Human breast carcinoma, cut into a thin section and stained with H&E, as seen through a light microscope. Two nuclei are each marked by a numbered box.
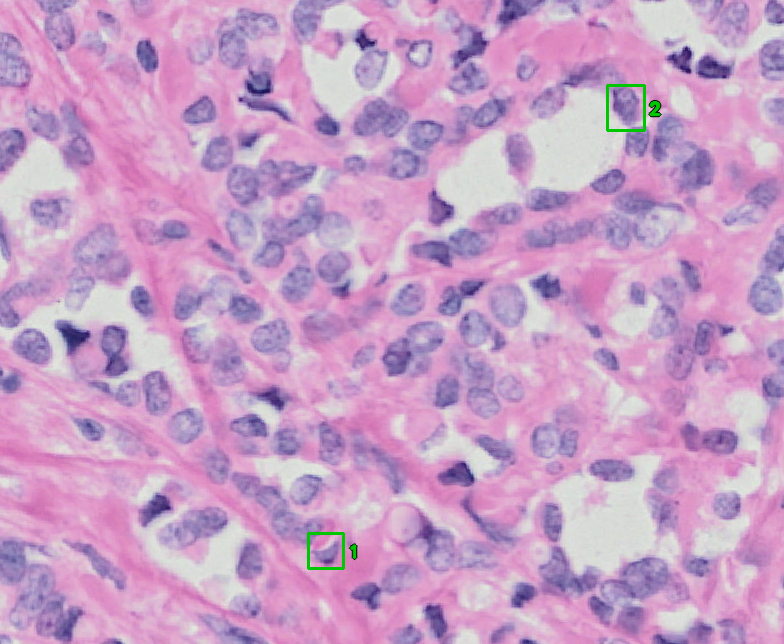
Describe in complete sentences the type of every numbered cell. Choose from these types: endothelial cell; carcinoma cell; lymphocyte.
Cell 1 is an endothelial cell. Cell 2 is a carcinoma cell.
